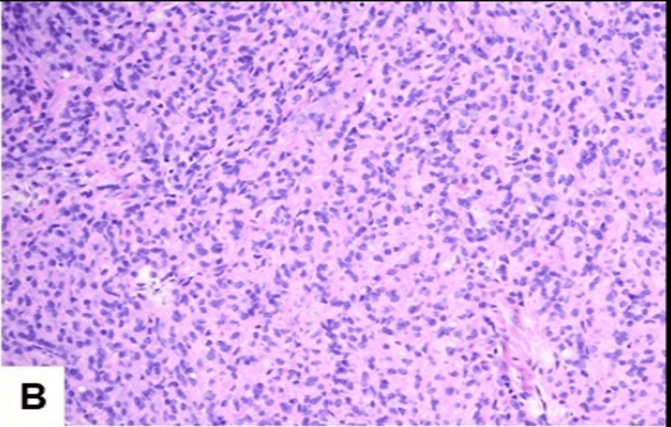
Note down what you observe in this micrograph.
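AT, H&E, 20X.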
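This is a cellular lesion made of bland cells with epithelioid to spindled shapes. The cells lie in sheets and loose groups, some rounded or polygonal and others elongated. Their nuclei are oval to elongated, dark purple and fairly uniform in size and shape, without marked atypia. Thin strands of pink stroma run between the groups of cells.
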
